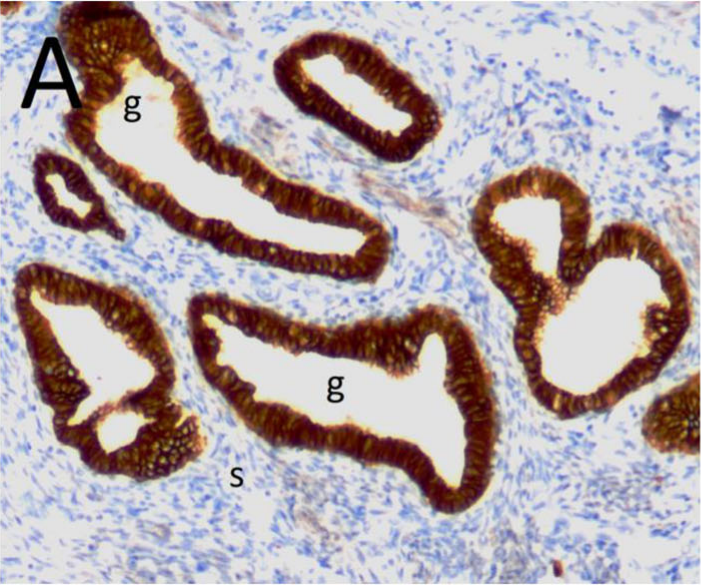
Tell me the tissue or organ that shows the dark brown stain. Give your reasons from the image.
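A single layer of tall cells lining open lumens is stained dark brown. On this evidence: glandular epithelium.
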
